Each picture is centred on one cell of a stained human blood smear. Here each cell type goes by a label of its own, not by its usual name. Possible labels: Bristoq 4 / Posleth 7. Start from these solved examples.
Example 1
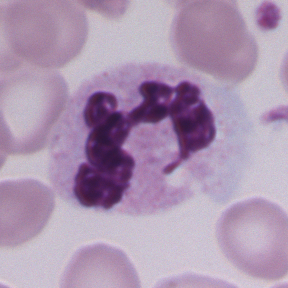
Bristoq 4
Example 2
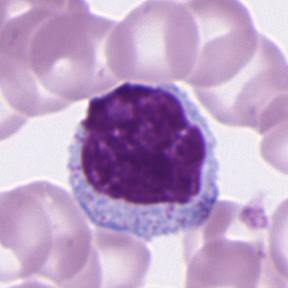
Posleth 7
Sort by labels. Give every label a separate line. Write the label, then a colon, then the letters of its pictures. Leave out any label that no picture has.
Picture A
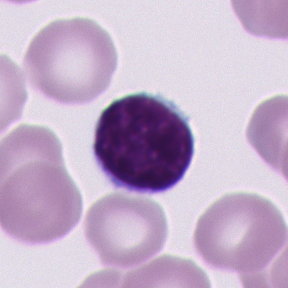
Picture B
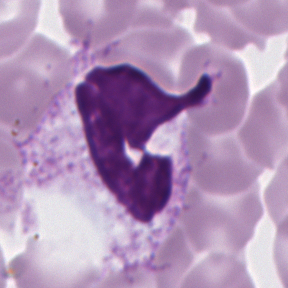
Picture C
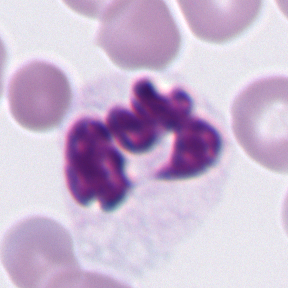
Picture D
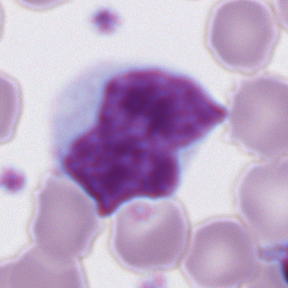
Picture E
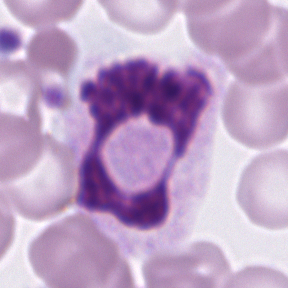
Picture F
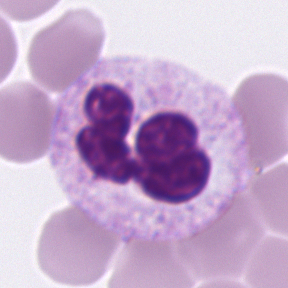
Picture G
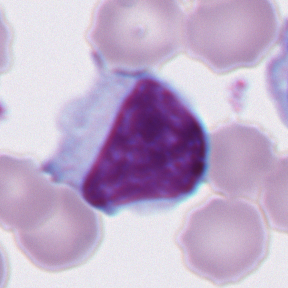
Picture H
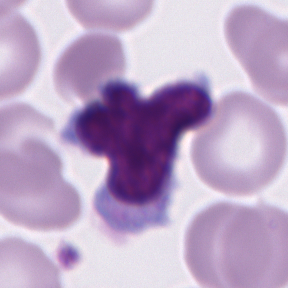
Bristoq 4: B, C, E, F
Posleth 7: A, D, G, H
